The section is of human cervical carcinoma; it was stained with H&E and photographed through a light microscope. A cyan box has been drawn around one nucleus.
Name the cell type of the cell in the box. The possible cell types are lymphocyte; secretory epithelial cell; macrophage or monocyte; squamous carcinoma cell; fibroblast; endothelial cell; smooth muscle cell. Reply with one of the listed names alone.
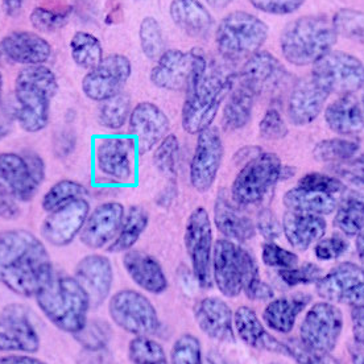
squamous carcinoma cell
